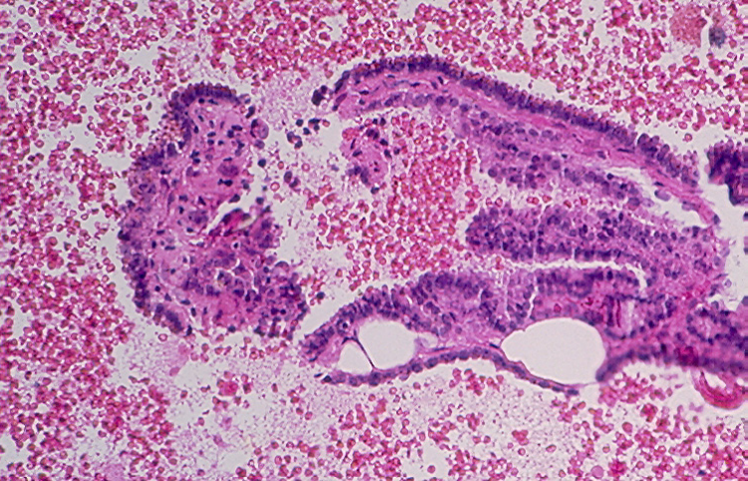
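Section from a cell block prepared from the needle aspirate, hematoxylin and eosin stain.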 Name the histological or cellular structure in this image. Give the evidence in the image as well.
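Branching, frond-like fragments of tissue project into the surrounding material. The fragments have pink stromal cores lined on their surfaces by a row of cells. Abundant red blood cells surround the fragments.
Conclusion: papillary tissue fragments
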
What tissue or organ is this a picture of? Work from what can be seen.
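Epithelium. A single row of cuboidal to columnar cells with dark nuclei lines the outer surface of the fragments. The lining cells have pale pink cytoplasm and sit side by side along the edge.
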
